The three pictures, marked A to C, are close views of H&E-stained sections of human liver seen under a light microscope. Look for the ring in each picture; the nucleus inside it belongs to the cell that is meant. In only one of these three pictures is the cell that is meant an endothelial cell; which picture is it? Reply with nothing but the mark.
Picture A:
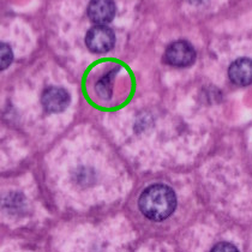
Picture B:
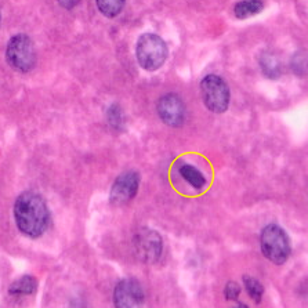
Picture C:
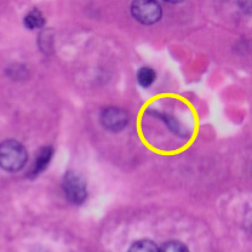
A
